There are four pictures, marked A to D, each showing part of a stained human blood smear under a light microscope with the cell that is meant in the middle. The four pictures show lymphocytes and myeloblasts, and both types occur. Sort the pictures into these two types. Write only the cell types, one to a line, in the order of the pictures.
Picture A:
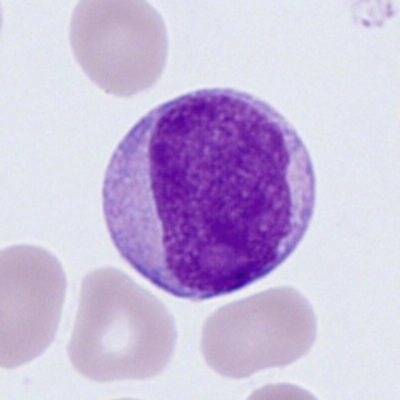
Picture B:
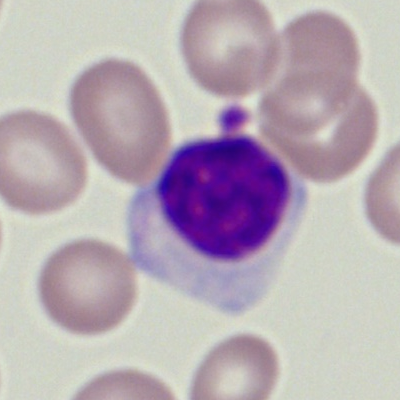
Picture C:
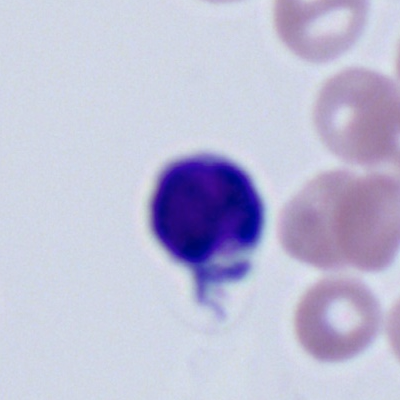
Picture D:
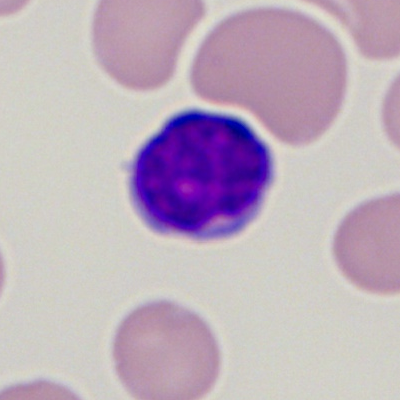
myeloblast
lymphocyte
lymphocyte
lymphocyte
